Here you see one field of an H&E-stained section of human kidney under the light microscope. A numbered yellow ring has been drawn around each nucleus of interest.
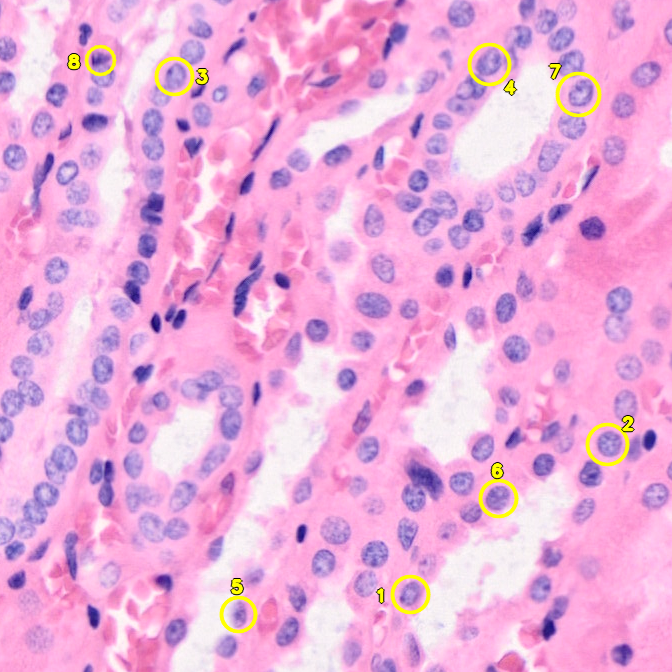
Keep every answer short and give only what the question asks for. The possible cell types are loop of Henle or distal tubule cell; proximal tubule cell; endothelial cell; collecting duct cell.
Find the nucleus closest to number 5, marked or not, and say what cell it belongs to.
loop of Henle or distal tubule cell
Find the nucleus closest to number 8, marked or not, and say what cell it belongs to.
collecting duct cell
